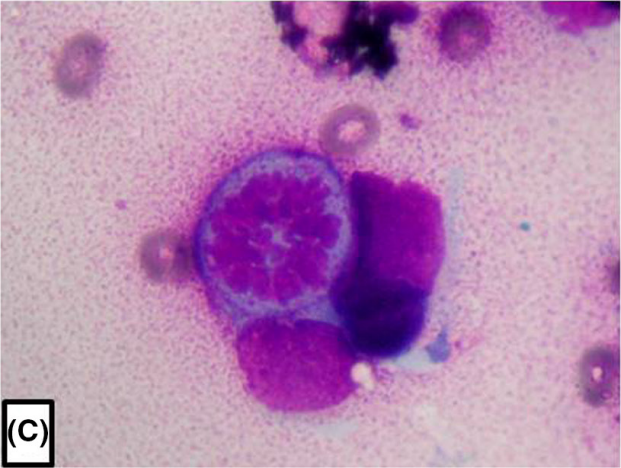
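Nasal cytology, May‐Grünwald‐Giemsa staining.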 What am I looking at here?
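In the centre lies a large round cell whose nucleus has been replaced by a cluster of dark, rod-like chromosomes arranged radially like a rosette. A clear ring of pale bluish cytoplasm surrounds this cluster, bounded by a distinct cell edge. Pale ring-shaped red blood cells lie scattered on the fine pink-speckled background. The central cell is a mitotic figure among the infiltrating cells.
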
